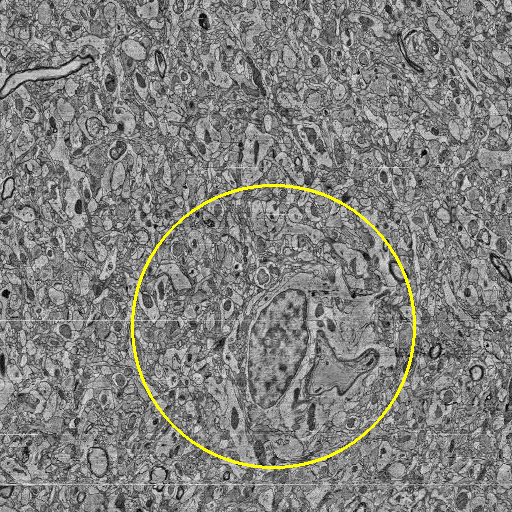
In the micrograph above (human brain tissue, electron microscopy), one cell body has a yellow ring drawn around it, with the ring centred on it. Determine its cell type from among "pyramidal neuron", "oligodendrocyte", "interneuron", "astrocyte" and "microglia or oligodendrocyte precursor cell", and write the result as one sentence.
The cell whose body is ringed is a microglial cell or oligodendrocyte precursor cell.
